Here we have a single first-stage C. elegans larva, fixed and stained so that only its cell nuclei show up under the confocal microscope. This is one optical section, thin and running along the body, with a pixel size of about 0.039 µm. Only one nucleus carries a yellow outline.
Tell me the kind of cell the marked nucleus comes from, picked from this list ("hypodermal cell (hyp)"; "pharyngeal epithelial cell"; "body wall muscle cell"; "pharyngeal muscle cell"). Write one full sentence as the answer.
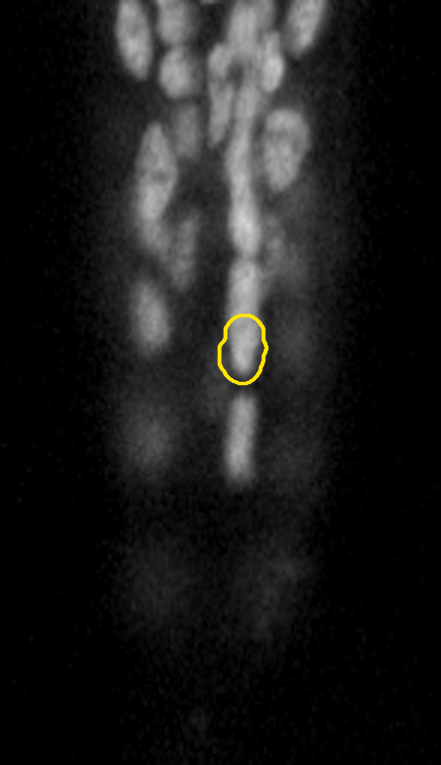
It is the nucleus of a pharyngeal muscle cell.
